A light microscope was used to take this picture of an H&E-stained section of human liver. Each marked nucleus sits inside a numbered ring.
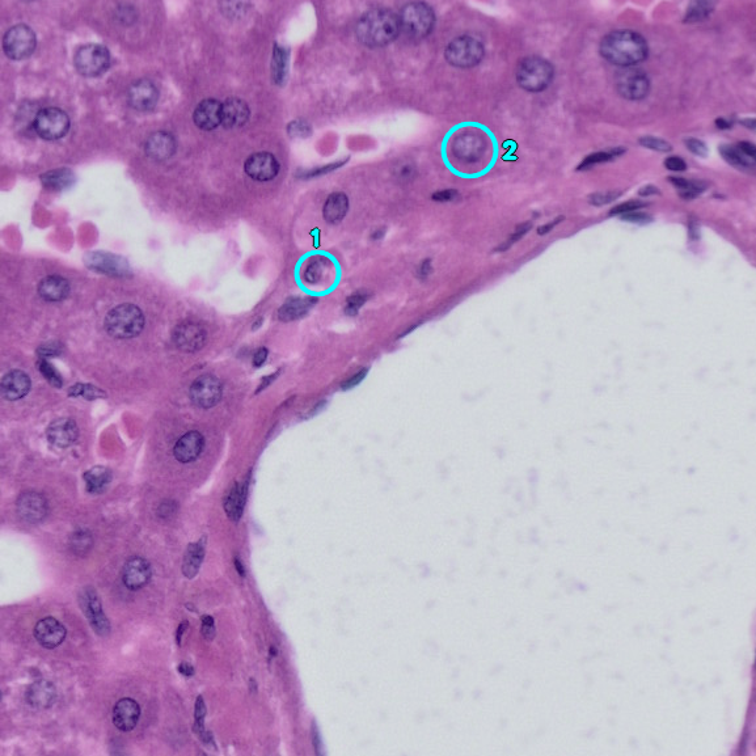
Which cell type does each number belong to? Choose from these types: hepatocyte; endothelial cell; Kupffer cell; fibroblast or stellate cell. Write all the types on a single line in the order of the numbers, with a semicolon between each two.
fibroblast or stellate cell; hepatocyte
